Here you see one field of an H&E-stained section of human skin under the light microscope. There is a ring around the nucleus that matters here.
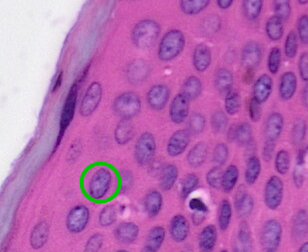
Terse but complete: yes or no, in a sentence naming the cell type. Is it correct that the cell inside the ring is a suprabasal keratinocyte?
Yes, the cell inside the ring corresponds to a suprabasal keratinocyte in this tissue.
